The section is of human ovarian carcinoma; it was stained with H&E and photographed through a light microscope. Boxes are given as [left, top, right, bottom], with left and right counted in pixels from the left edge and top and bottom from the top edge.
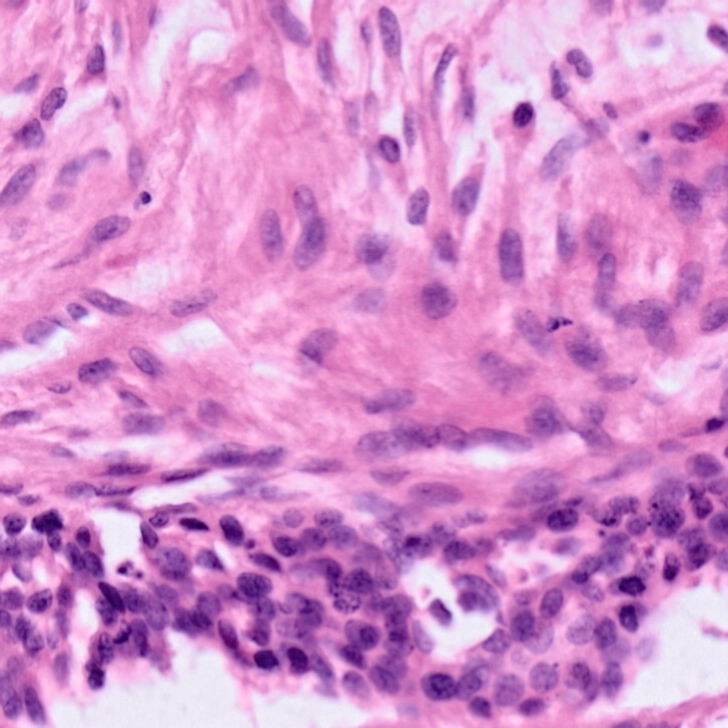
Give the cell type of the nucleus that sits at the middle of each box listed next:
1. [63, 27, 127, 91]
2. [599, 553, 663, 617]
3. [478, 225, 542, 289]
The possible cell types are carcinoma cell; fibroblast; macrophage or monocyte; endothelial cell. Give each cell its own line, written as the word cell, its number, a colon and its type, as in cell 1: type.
cell 1: fibroblast
cell 2: carcinoma cell
cell 3: fibroblast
